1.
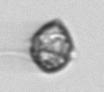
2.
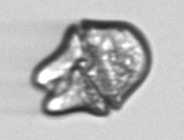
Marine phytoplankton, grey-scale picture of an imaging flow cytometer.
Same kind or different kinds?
Different: the first is Scrippsiella, the second Akashiwo.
